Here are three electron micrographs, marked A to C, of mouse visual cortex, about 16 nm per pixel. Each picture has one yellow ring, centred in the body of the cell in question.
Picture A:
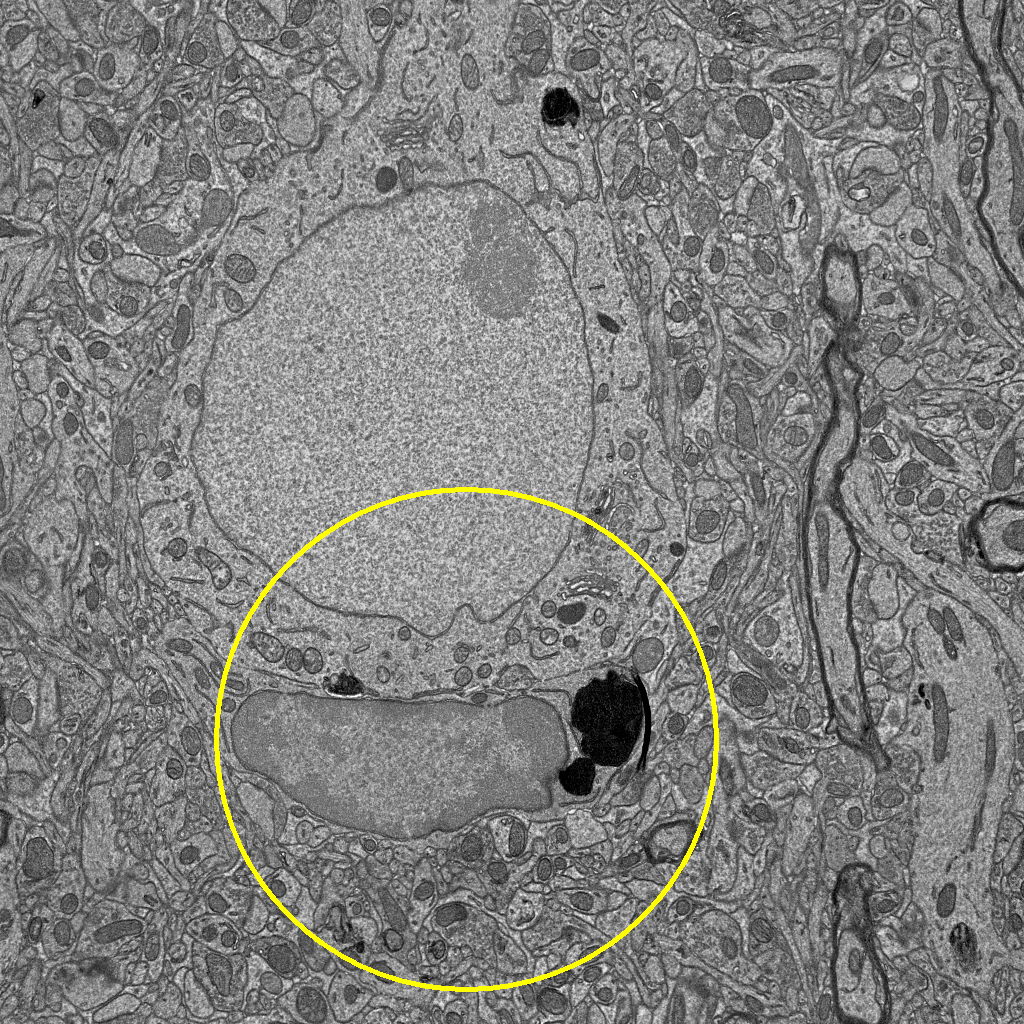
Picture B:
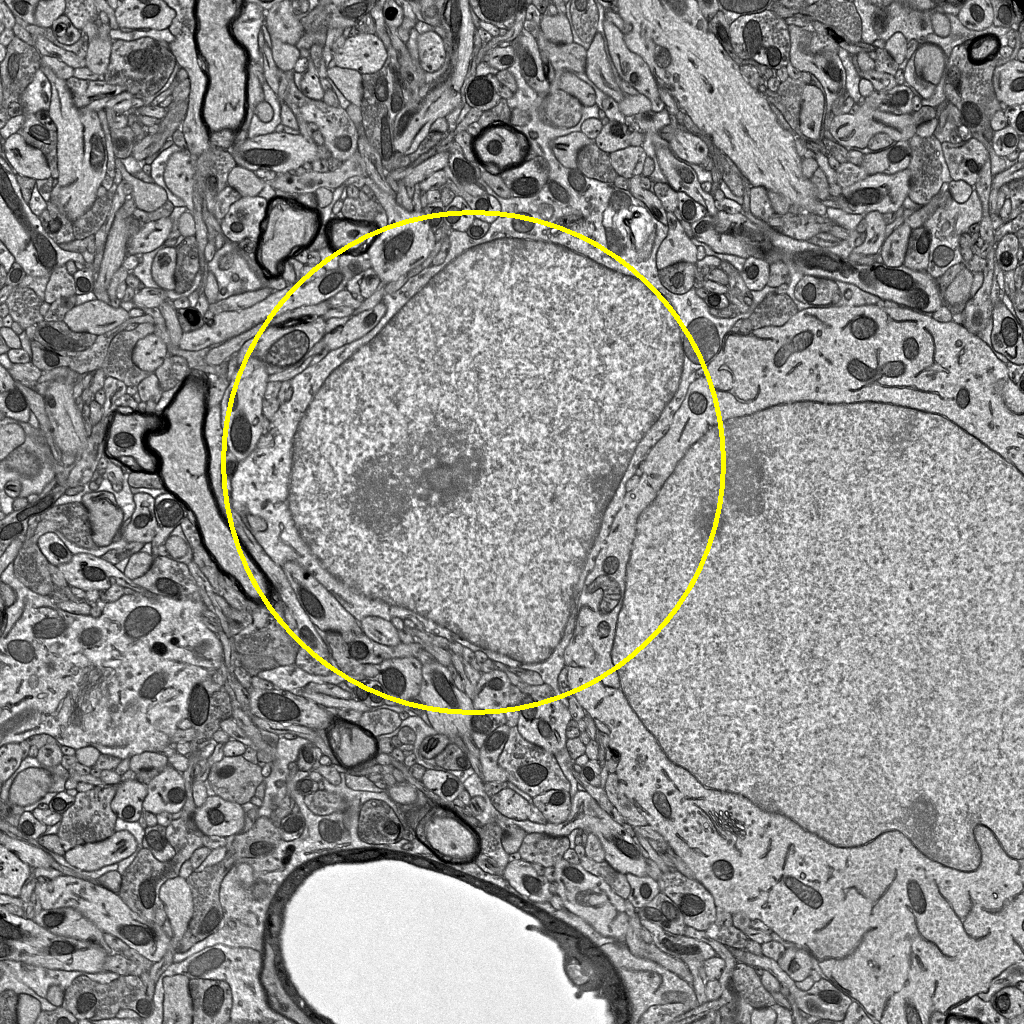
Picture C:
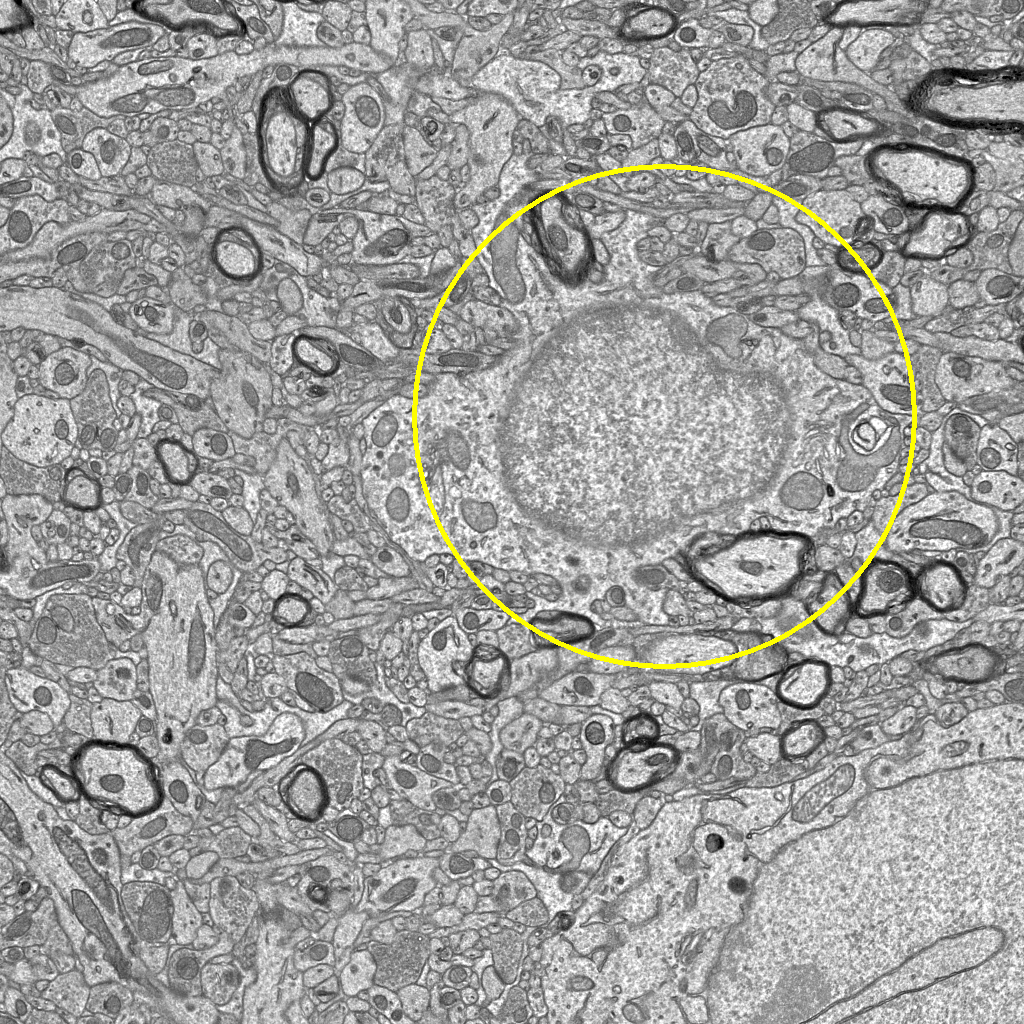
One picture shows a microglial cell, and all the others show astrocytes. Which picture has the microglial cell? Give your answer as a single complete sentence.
Picture A shows the microglial cell.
